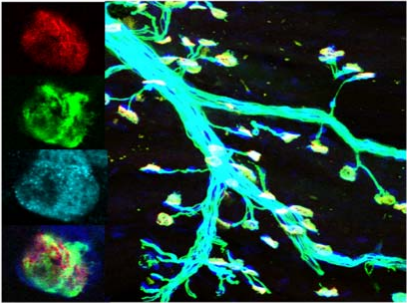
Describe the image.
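Intramuscular nerve with thick bundles of green axons branching into single fine axons, each ending on an oval endplate. Enlarged single endplate at left shows separate red, green and cyan channels of similar oval outline.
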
